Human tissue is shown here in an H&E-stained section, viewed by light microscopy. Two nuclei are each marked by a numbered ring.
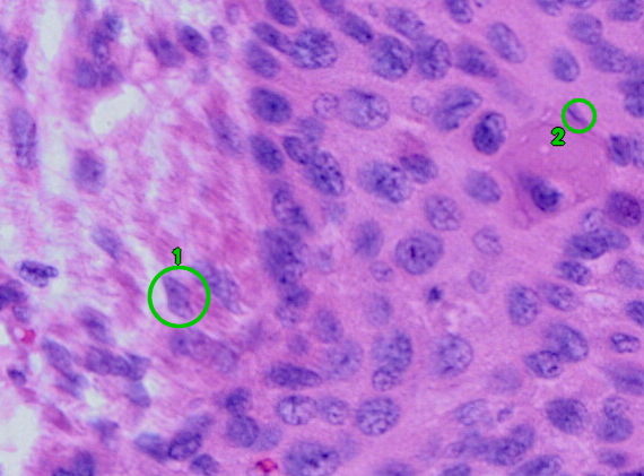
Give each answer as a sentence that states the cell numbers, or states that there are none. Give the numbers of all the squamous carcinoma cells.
It is only cell 2 that is a squamous carcinoma cell among the numbered cells.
